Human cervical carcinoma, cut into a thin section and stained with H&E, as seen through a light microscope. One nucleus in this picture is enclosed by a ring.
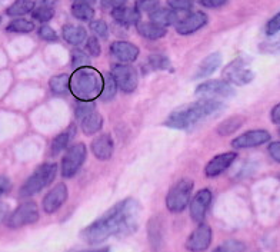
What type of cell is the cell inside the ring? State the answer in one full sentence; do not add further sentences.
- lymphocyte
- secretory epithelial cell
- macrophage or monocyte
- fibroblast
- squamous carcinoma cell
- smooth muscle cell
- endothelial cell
As classified here, the cell inside the ring is a secretory epithelial cell.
